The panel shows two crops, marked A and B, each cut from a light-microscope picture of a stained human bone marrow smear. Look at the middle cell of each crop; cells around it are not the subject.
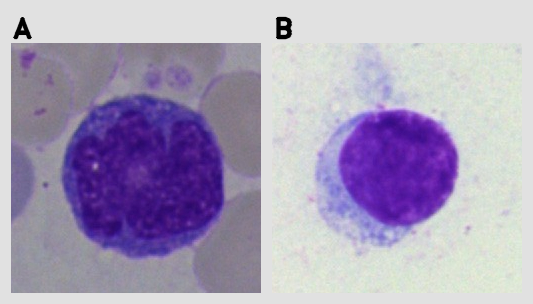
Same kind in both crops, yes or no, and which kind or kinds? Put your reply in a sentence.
No, crop A depicts a monocyte, and crop B depicts a hairy cell.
